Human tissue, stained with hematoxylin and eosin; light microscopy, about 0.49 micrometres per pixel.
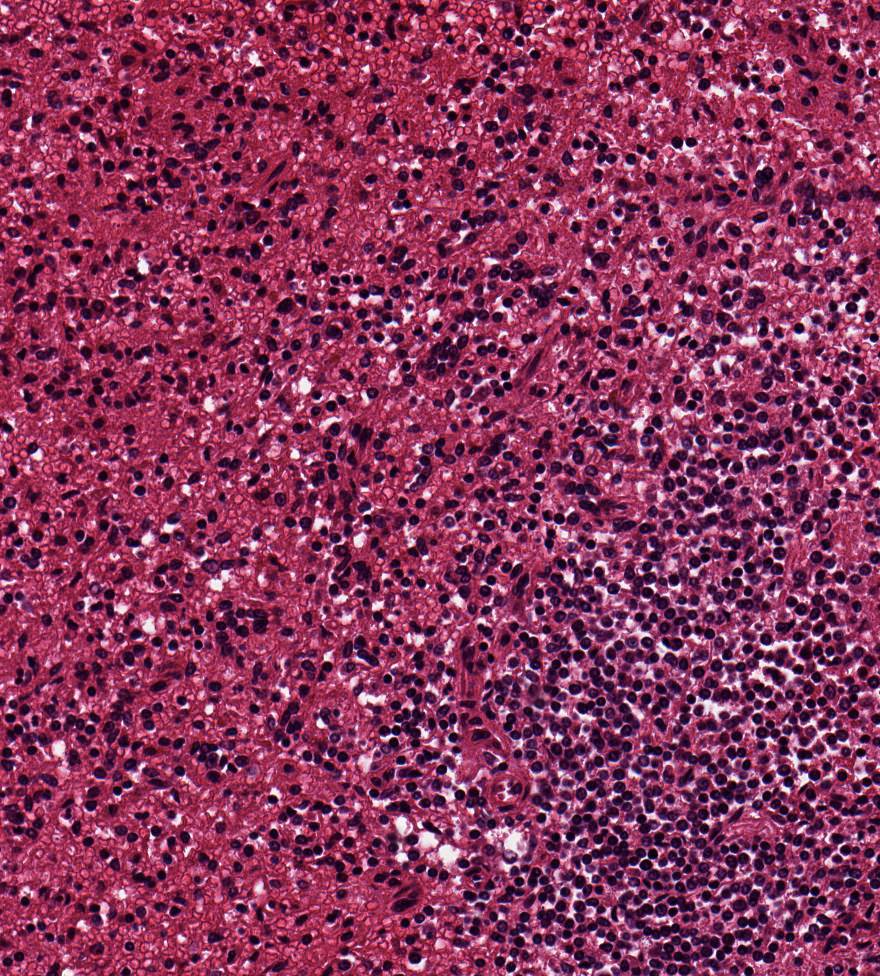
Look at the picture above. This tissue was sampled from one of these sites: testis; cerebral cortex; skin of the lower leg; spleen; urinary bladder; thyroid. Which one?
spleen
